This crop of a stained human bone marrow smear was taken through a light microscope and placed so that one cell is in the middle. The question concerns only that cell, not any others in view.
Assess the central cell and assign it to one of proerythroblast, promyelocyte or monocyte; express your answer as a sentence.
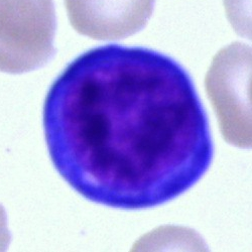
In the crop, the cell of interest at the centre is a proerythroblast.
